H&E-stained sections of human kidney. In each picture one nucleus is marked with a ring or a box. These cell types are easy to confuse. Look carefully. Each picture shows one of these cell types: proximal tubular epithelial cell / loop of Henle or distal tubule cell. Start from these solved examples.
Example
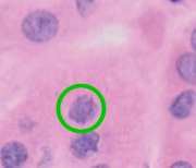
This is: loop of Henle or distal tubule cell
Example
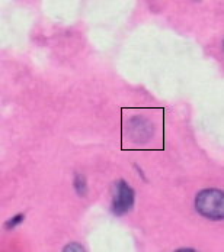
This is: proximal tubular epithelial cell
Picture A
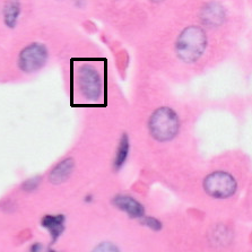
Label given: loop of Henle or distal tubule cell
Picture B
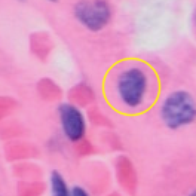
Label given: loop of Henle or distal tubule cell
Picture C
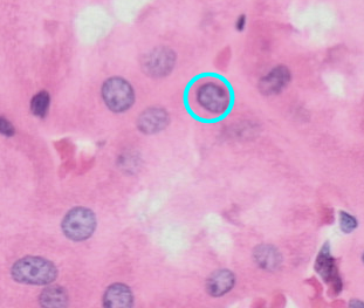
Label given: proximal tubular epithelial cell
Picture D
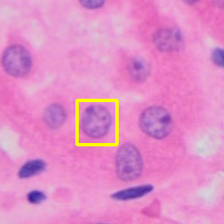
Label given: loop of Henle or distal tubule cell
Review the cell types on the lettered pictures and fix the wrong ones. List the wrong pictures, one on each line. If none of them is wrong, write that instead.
D: not loop of Henle or distal tubule cell but proximal tubular epithelial cell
